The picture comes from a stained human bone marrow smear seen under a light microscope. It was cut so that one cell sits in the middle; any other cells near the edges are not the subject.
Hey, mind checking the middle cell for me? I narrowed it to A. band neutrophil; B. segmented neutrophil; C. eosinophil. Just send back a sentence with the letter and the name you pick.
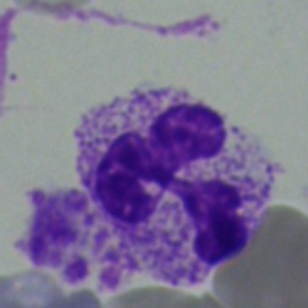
Option B is the correct option, with the middle cell being a segmented neutrophil.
